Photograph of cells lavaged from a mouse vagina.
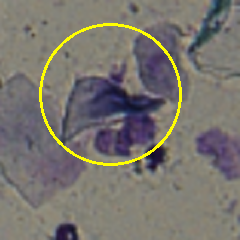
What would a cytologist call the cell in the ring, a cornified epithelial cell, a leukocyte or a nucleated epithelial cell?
A cytologist would call it a cornified epithelial cell.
